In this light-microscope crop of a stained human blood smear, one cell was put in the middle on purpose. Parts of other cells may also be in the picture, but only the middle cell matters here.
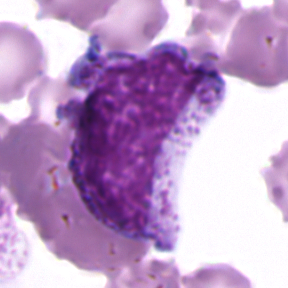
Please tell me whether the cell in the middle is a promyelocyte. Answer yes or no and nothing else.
yes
